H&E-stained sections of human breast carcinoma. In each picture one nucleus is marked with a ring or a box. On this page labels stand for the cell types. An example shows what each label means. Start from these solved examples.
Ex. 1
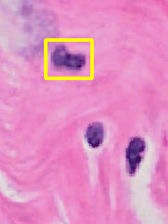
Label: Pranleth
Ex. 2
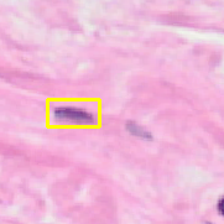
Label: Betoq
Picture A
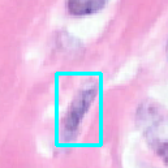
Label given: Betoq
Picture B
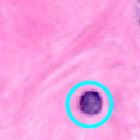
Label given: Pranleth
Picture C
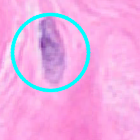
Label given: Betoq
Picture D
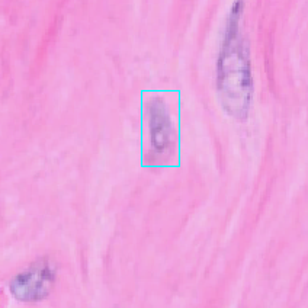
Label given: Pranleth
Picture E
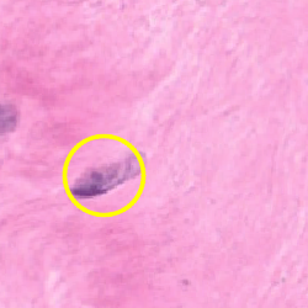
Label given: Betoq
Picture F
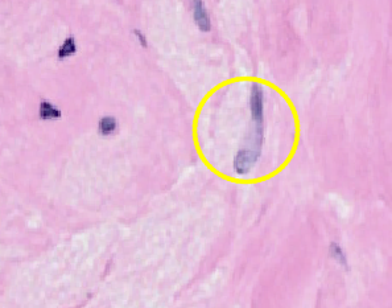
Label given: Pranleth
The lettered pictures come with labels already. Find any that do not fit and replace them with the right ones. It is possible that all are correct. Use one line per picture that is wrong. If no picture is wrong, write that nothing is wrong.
D should be Betoq, not Pranleth
F should be Betoq, not Pranleth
